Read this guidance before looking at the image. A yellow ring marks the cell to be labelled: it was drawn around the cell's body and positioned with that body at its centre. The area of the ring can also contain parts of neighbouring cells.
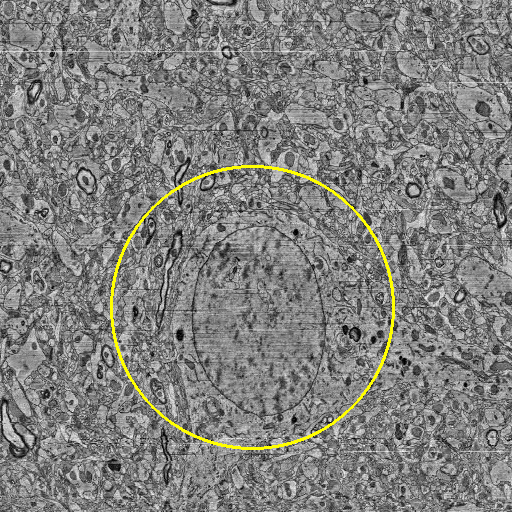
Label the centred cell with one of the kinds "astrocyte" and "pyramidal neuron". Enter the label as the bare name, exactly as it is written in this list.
pyramidal neuron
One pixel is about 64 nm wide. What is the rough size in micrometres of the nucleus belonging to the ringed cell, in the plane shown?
In this plane the nucleus is about 13 micrometres by 9.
